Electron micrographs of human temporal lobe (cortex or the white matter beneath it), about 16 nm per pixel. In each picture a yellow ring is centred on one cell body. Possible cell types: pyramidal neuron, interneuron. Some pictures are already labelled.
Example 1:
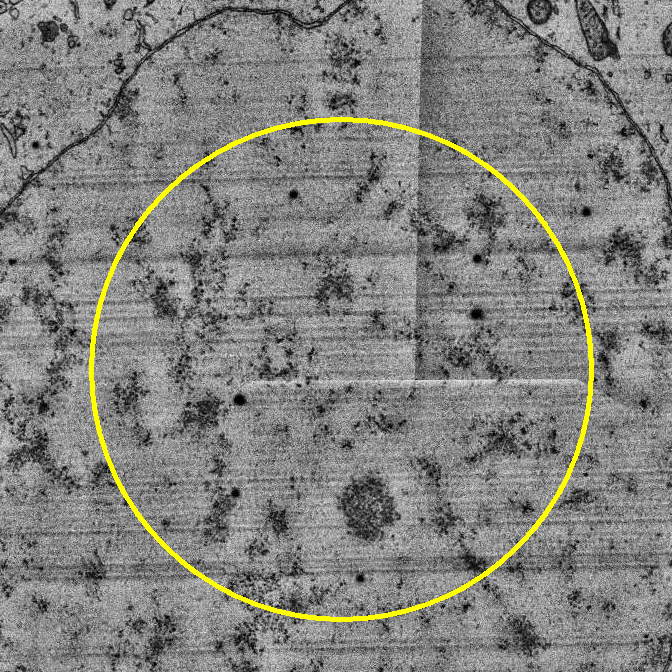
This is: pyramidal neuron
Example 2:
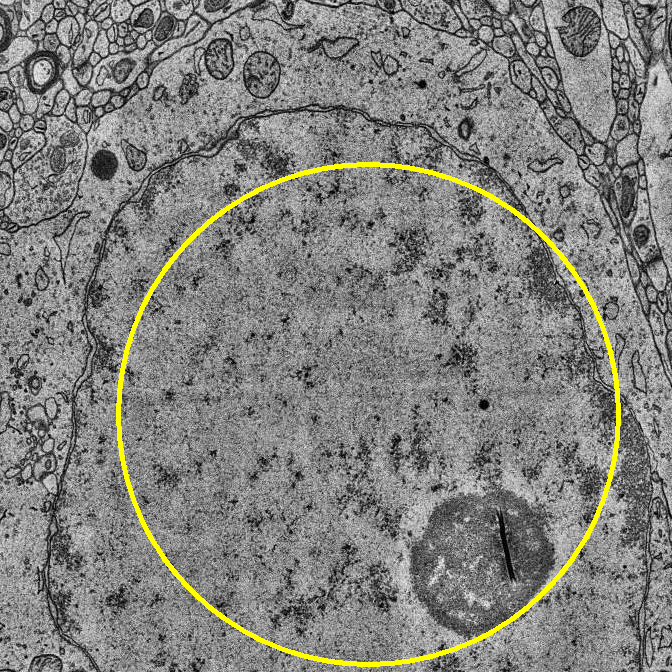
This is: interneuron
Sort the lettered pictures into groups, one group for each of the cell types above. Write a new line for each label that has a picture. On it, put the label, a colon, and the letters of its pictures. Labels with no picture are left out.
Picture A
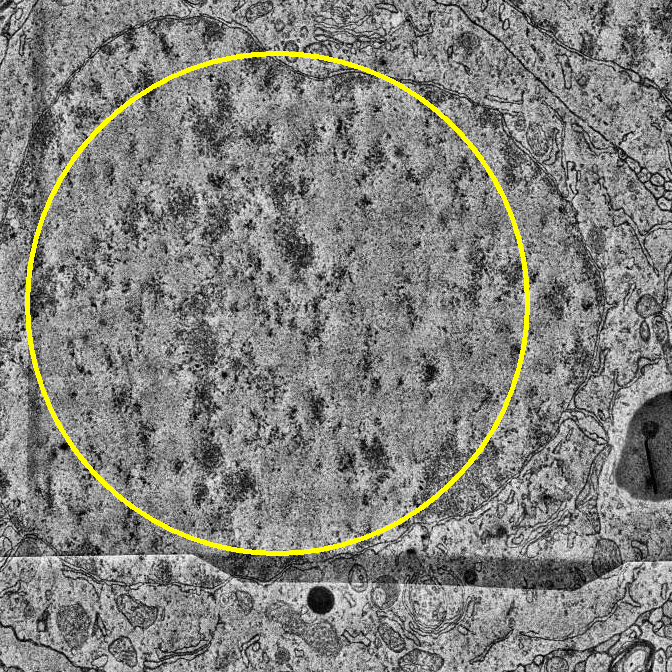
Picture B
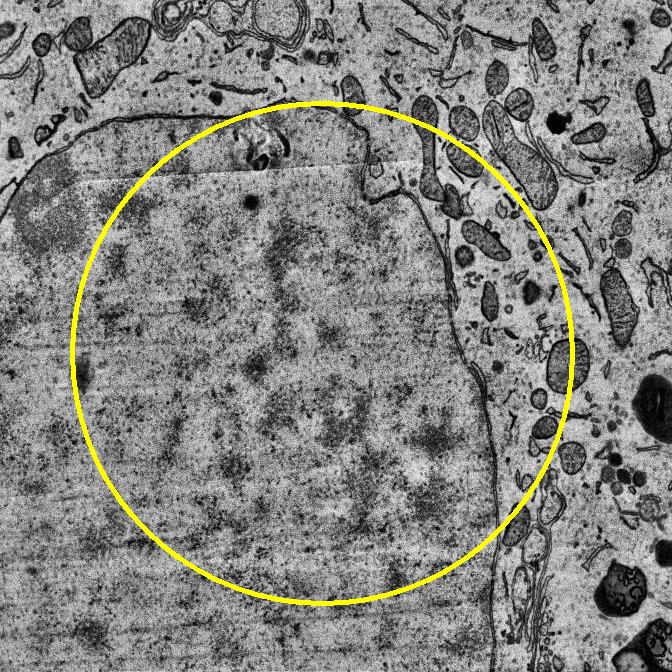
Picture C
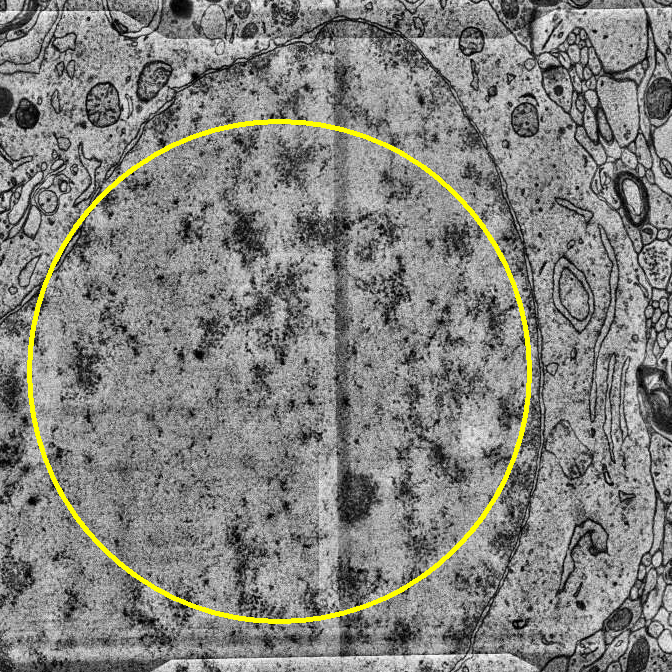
interneuron: A, B, C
